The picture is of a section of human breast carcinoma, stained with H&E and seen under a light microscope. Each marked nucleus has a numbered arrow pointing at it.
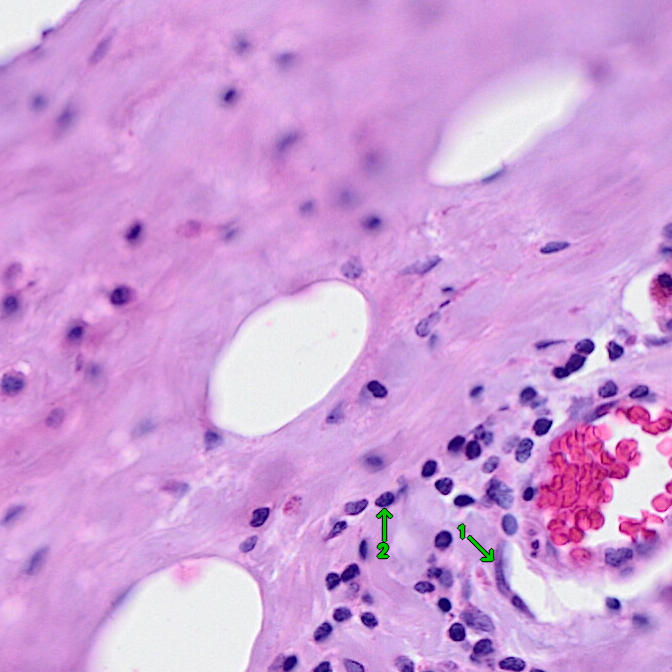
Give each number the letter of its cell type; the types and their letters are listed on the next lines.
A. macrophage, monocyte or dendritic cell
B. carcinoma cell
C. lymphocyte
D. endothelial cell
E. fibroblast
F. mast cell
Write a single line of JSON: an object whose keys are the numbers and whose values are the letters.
{"1": "E", "2": "C"}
